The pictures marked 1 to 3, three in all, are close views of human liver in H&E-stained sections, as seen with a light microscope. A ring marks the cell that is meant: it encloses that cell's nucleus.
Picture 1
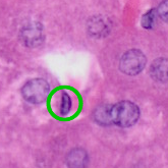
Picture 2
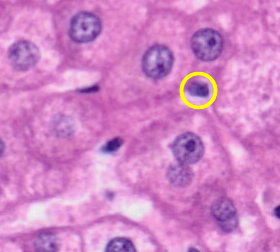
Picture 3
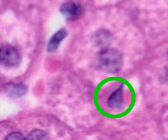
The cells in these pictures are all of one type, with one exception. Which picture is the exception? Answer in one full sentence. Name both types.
Picture 1 is the odd one out: it shows a “fibroblast or stellate cell”, while the others show endothelial cells.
